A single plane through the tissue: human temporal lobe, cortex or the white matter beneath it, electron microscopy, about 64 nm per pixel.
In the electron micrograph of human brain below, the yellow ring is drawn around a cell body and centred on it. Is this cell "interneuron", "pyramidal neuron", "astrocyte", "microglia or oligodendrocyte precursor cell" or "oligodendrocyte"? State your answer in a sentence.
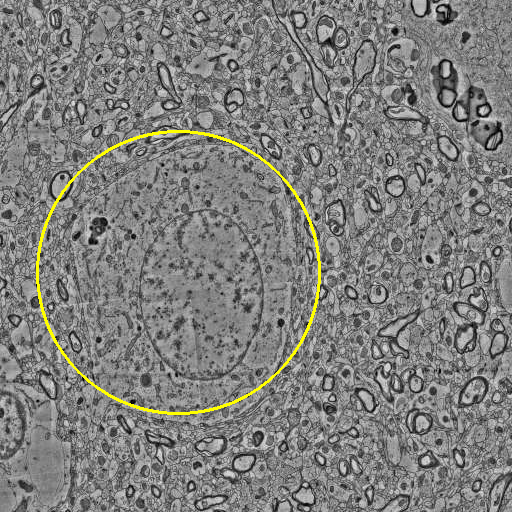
The cell in the middle of the ring is a pyramidal neuron.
